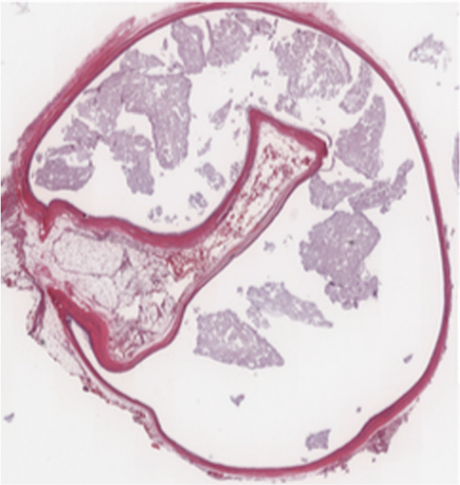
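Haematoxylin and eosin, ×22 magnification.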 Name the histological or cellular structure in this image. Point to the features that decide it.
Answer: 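A thin, continuous pink wall encloses a large rounded cavity. Loose pale purple material floats within the lumen. A fold of the wall projects into the cavity. On this evidence: cyst.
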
